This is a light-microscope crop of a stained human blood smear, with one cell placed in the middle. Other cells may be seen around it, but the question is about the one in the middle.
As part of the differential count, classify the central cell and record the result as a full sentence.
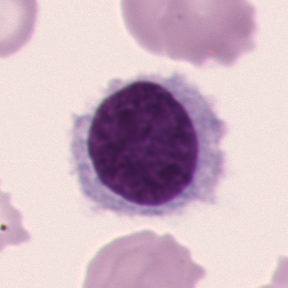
What the crop centres on is a hairy cell.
